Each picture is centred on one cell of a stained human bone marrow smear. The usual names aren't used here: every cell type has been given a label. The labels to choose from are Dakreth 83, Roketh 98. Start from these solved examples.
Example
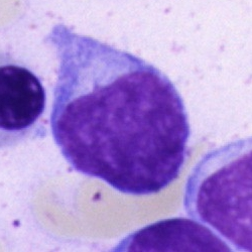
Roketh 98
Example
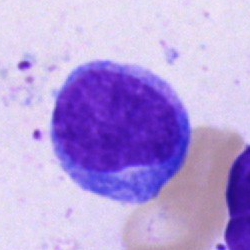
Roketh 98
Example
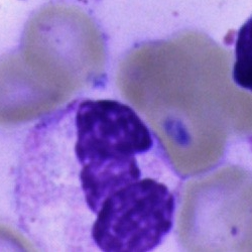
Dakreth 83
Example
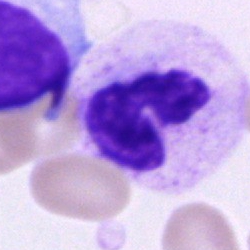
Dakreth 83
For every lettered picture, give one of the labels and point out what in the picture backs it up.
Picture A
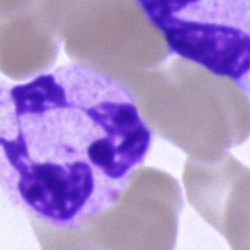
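Dakreth 83. The chromatin is dense and dark purple, with coarse clumps.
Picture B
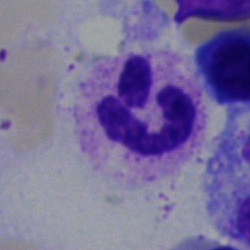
Dakreth 83. The nucleus is a single curved band bent into a U shape whose open side faces upward.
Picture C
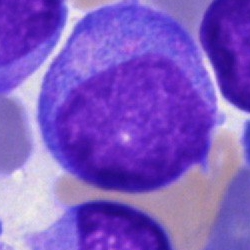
Roketh 98. The chromatin is finely stippled rather than coarsely clumped.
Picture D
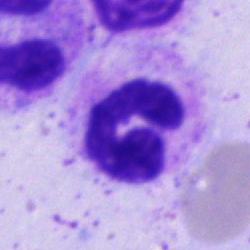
Dakreth 83. The nucleus is a thick curved band bent into a C shape.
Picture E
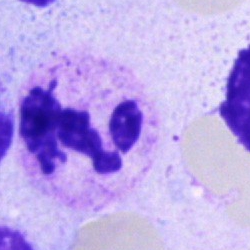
Dakreth 83. The cytoplasm is plentiful and pale pinkish-lilac.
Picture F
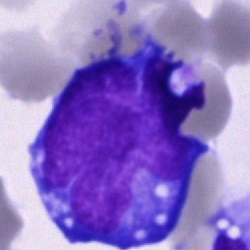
Roketh 98. The nucleus fills most of the cell, leaving cytoplasm mainly along the lower edge.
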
